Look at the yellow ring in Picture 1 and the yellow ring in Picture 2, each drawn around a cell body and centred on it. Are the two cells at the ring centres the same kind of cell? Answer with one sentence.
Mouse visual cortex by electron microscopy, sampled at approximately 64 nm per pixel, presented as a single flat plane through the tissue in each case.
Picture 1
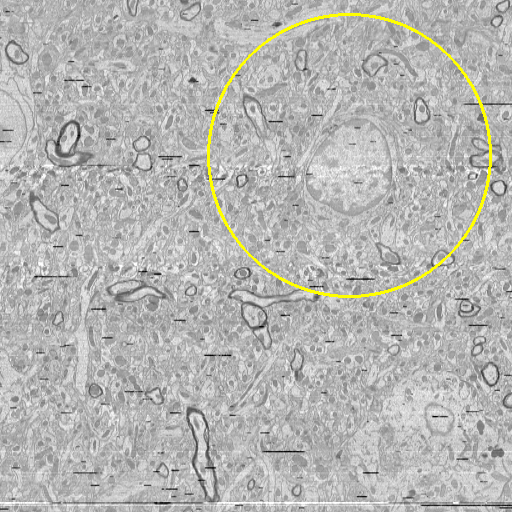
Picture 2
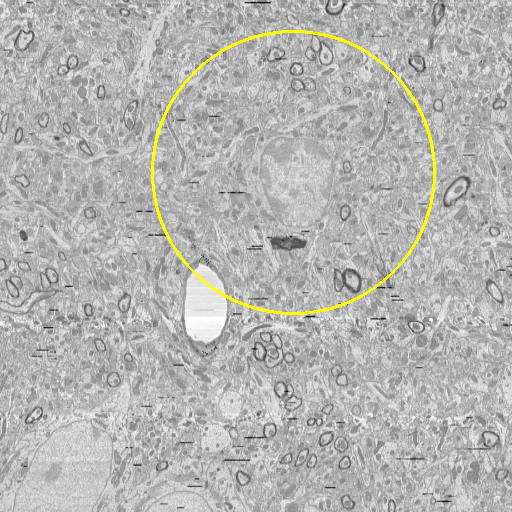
Yes, both are the same kind of cell.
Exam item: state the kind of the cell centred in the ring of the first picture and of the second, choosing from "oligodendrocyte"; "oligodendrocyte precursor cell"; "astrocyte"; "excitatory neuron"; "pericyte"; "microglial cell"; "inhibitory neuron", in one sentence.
Each of the two cells is an oligodendrocyte.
